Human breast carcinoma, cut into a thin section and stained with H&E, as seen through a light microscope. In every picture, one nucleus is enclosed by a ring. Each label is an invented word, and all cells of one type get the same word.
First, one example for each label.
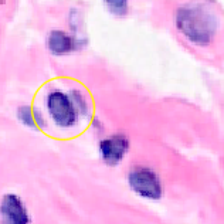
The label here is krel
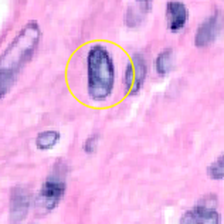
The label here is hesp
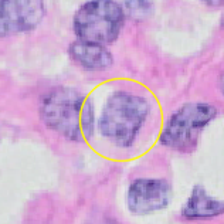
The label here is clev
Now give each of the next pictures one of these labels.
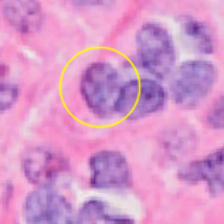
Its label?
clev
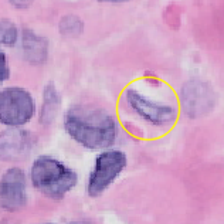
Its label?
hesp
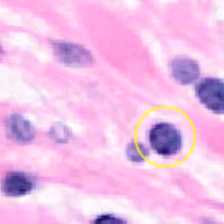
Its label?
krel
